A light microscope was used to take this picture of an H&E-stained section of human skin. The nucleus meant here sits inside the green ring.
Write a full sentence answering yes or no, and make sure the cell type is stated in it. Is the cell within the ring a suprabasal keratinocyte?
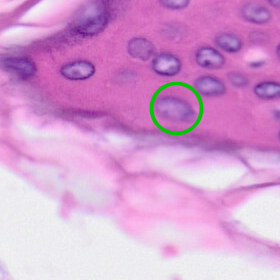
Yes, the cell within the ring qualifies as a suprabasal keratinocyte in this section.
